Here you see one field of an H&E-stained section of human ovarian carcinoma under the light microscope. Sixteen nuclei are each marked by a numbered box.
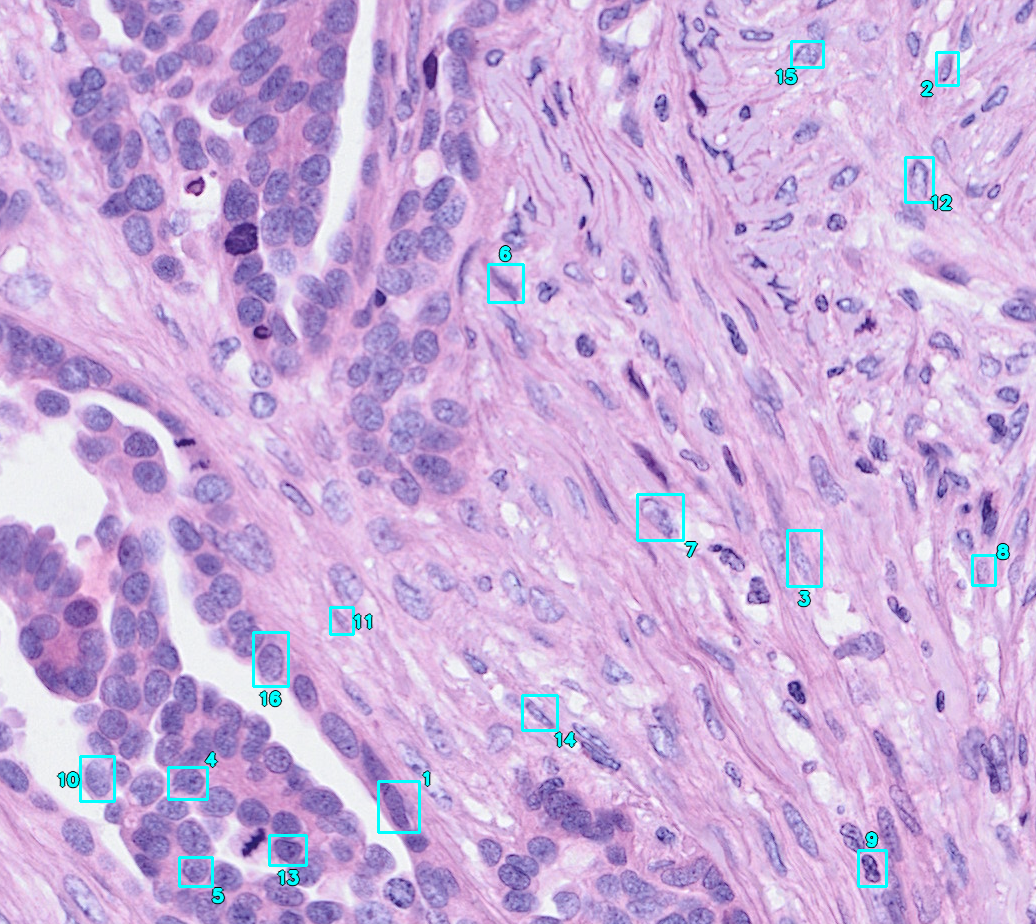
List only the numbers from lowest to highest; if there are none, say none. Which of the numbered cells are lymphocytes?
9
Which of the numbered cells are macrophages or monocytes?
none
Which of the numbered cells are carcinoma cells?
1, 4, 5, 10, 13, 16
